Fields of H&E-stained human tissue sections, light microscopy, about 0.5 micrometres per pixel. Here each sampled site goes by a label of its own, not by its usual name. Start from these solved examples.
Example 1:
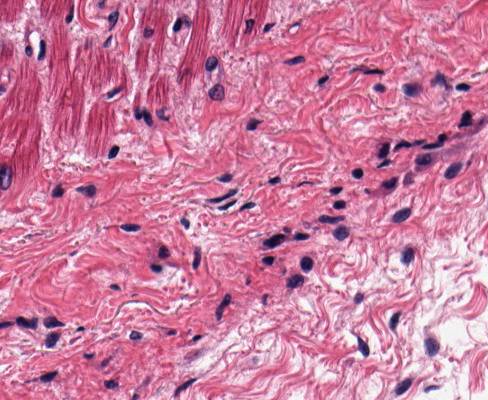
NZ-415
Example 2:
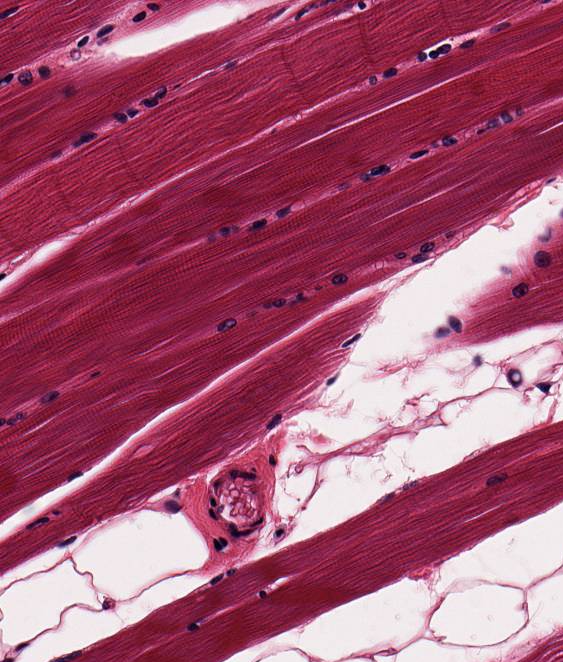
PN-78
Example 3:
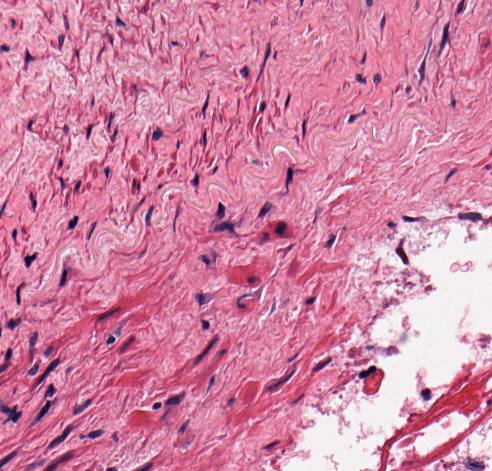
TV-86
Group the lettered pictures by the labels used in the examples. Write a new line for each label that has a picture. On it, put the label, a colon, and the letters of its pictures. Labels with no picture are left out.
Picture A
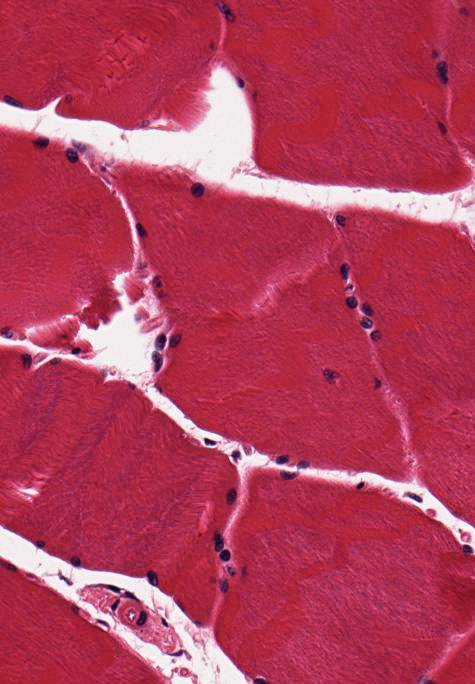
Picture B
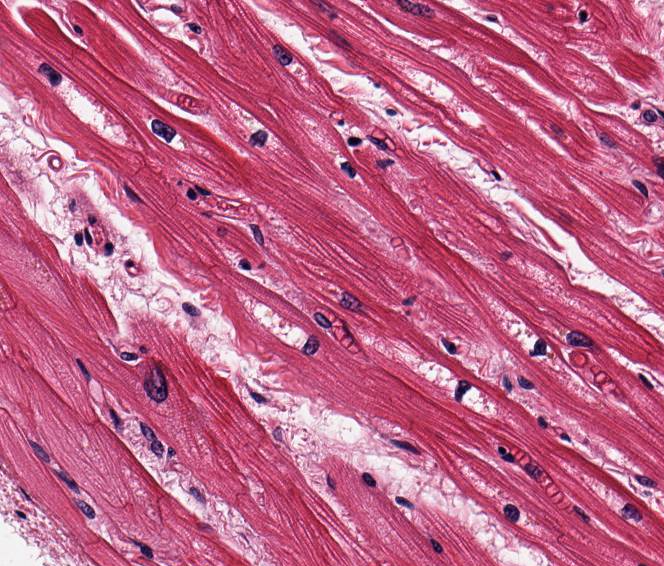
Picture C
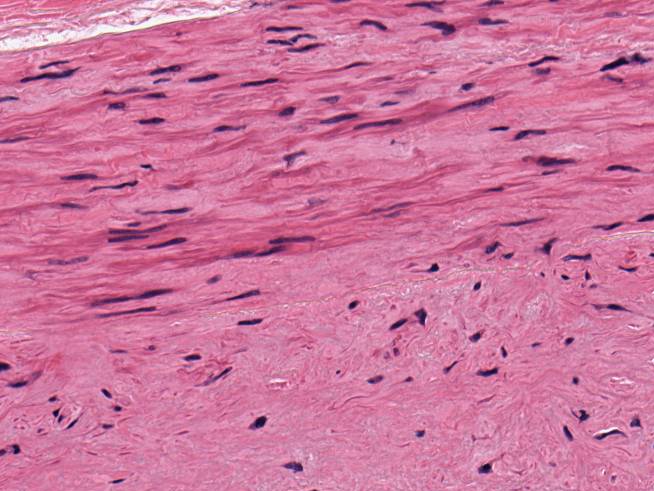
NZ-415: B
PN-78: A
TV-86: C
